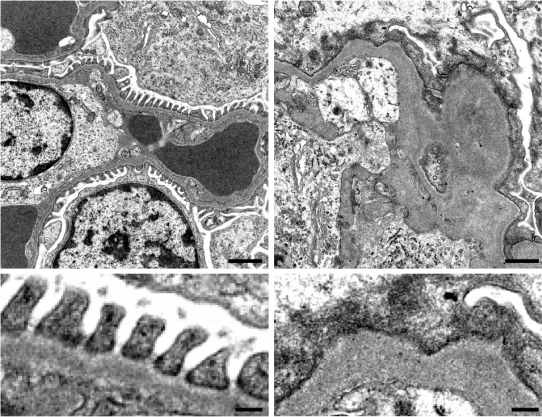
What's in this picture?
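These transmission electron micrographs show the glomerular filtration barrier, with podocytes, the glomerular basement membrane and capillaries. On the left, podocyte foot processes stand in a regular row on a thin, even basement membrane, with narrow slits between them. On the right, separate foot processes are no longer seen: the podocyte cytoplasm spreads as a continuous layer over the basement membrane, and the slits between processes are lost. The basement membrane on the right is irregular in thickness and contour.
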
